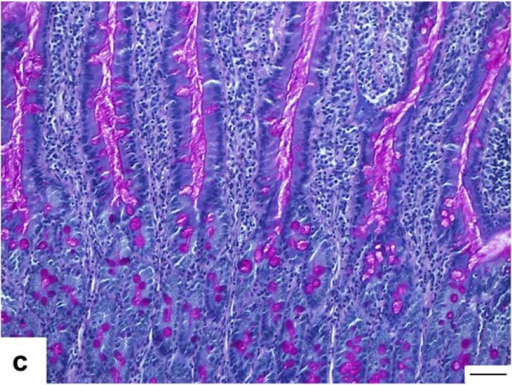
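Here the intestinal mucosa is cut so that long folds run from top to bottom, and the spaces between them are filled with bright magenta mucus. Many goblet cells appear as rounded magenta-filled or pale, bubbly cells, crowded especially in the lower part of the field. The epithelial lining is blue-purple, and the cores of the folds contain densely packed small dark nuclei of connective tissue cells. Compared with a mucosa where the clefts are clear and white, the heavy magenta content of the lumens is the striking feature of this field.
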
